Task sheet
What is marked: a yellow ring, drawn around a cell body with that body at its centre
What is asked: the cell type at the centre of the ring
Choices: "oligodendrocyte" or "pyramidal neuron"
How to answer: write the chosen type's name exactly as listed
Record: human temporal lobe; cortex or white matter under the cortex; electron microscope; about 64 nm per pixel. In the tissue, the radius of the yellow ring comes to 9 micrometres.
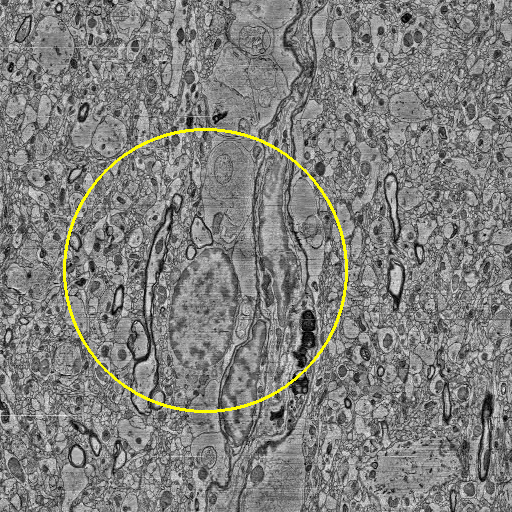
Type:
oligodendrocyte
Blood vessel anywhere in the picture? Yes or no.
Yes, one is visible.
